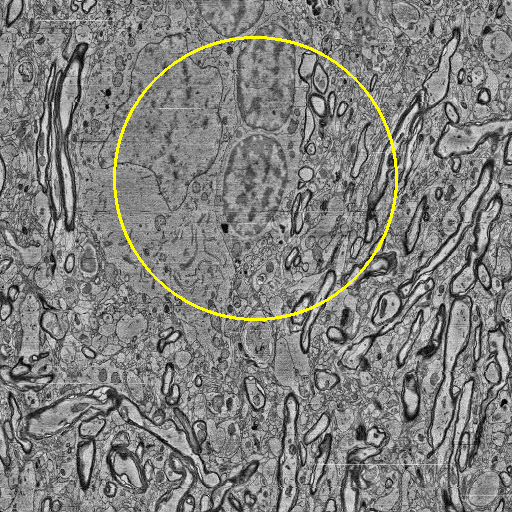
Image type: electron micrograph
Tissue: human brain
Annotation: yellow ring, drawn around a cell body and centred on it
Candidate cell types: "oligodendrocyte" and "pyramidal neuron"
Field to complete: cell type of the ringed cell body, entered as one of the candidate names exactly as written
oligodendrocyte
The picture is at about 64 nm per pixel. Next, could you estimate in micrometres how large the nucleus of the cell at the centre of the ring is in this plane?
About 7 by 4 micrometres, the nucleus being clearly longer than it is wide in this plane.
